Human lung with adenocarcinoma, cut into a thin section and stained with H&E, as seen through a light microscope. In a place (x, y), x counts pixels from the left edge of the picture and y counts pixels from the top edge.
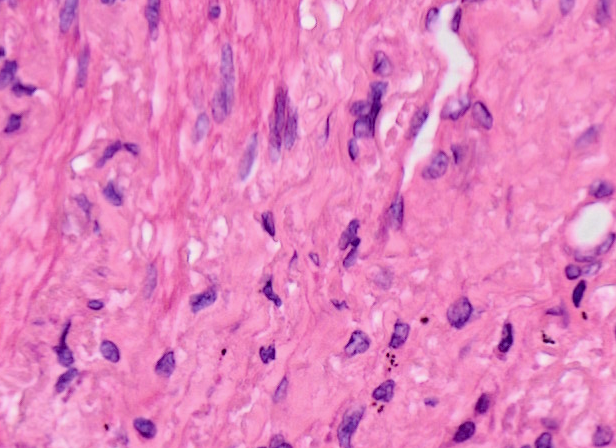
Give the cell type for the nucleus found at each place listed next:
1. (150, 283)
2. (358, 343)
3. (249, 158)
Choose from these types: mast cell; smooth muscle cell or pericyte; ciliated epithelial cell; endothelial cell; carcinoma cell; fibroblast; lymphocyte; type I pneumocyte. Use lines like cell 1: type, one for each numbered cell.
cell 1: smooth muscle cell or pericyte
cell 2: fibroblast
cell 3: smooth muscle cell or pericyte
